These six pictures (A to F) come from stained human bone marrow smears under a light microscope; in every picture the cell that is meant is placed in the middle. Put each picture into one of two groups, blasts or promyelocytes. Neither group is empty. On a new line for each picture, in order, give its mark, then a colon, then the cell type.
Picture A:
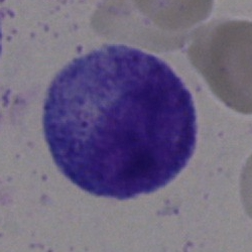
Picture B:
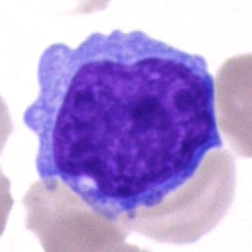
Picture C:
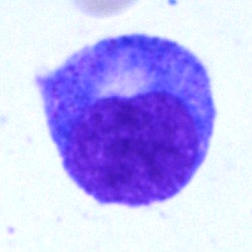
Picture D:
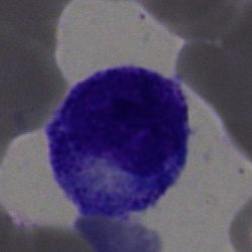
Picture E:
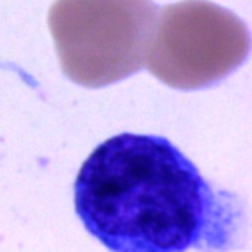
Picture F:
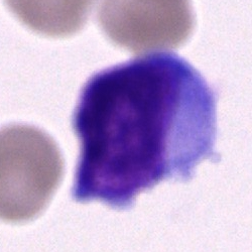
A: promyelocyte
B: blast
C: promyelocyte
D: promyelocyte
E: blast
F: blast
